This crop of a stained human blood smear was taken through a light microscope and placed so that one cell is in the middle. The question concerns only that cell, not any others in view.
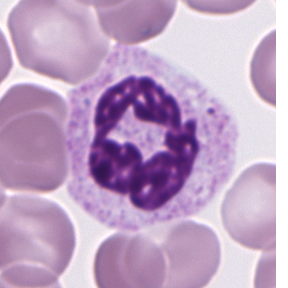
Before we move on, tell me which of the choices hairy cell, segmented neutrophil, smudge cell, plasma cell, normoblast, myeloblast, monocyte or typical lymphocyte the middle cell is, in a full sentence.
The cell centered in this field of view is a segmented neutrophil.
